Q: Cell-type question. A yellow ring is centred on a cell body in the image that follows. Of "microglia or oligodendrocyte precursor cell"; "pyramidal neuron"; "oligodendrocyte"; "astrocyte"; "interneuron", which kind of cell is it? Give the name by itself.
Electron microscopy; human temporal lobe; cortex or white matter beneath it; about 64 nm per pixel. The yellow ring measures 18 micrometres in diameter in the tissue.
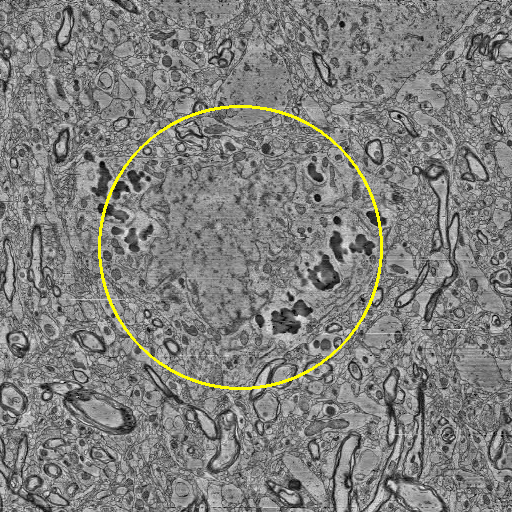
interneuron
